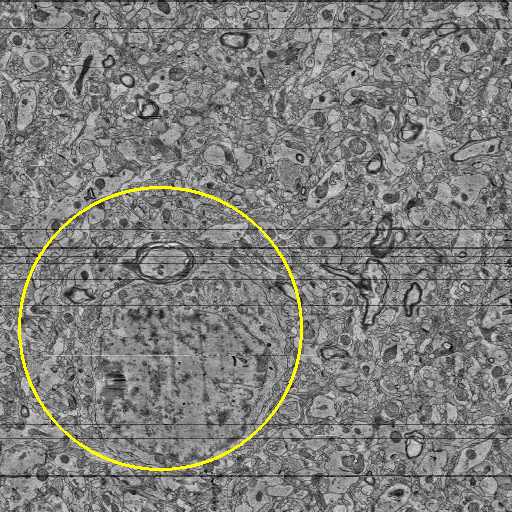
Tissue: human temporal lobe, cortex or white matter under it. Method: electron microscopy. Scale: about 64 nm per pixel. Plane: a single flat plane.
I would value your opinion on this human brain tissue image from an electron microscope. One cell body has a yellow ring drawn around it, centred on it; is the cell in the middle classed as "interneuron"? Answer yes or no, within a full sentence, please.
Yes, I would class the cell in the middle of the ring as that kind.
